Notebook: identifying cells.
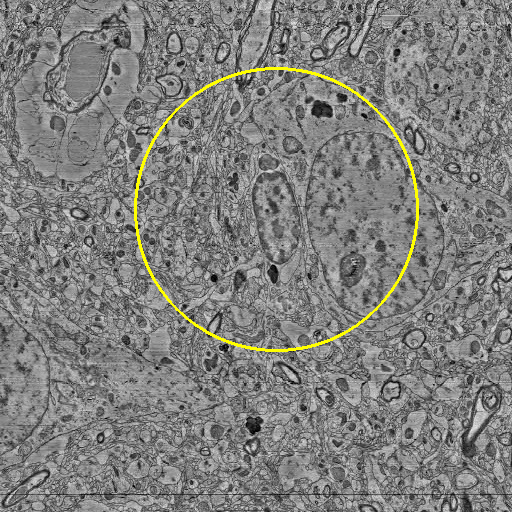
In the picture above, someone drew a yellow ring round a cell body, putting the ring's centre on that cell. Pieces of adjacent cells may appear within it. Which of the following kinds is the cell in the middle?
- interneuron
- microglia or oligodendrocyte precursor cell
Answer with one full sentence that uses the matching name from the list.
In this picture, the yellow ring is centred on the body of a microglial cell or oligodendrocyte precursor cell.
